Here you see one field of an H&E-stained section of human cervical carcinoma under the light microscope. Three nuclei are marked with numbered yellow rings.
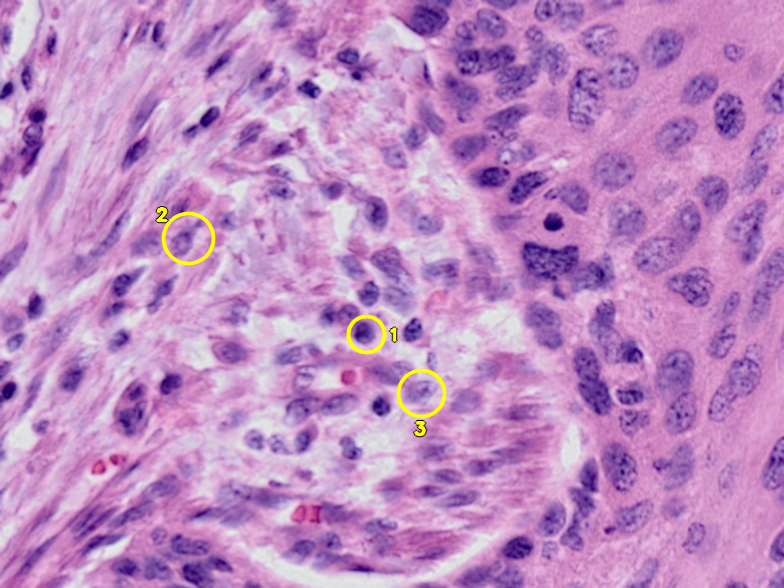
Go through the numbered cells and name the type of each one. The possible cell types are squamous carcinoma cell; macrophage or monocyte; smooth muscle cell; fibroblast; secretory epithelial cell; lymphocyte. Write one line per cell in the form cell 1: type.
cell 1: lymphocyte
cell 2: fibroblast
cell 3: fibroblast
